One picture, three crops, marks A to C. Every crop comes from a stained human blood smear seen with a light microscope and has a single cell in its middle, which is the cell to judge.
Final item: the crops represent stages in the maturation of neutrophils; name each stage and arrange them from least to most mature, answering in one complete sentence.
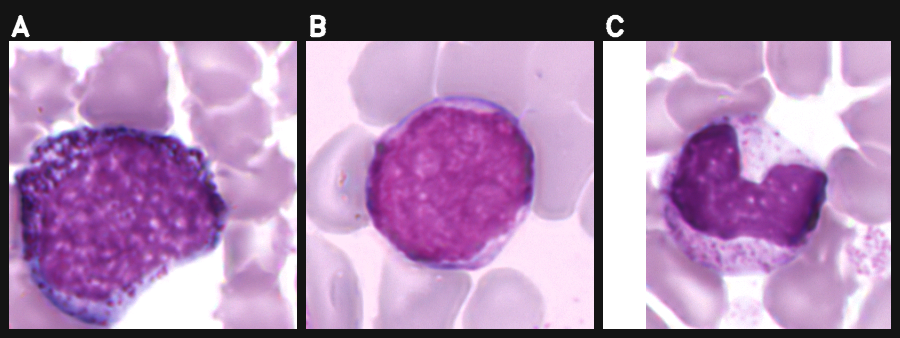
Along the maturation pathway, from earliest to latest, the order is crop B (a blast), crop A (a promyelocyte) and crop C (a band neutrophil).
